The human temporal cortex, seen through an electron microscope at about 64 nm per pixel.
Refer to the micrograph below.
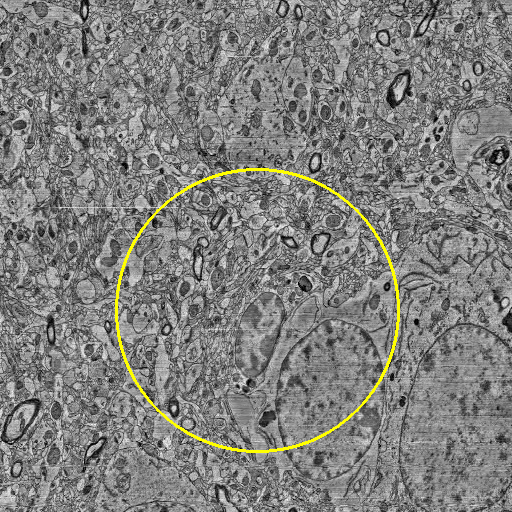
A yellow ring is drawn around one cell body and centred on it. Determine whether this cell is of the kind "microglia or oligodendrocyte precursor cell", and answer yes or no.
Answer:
yes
